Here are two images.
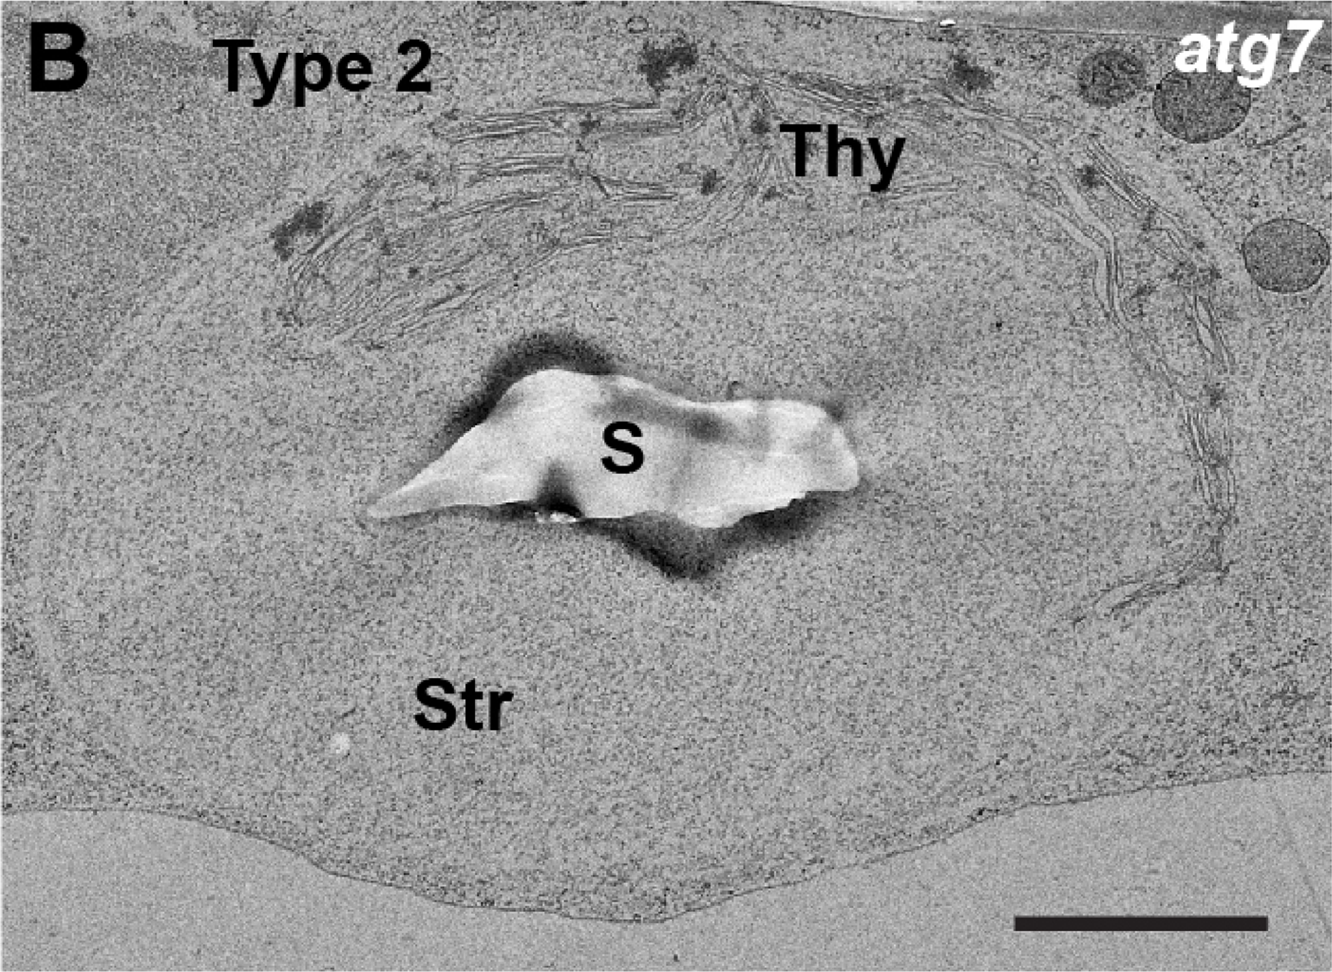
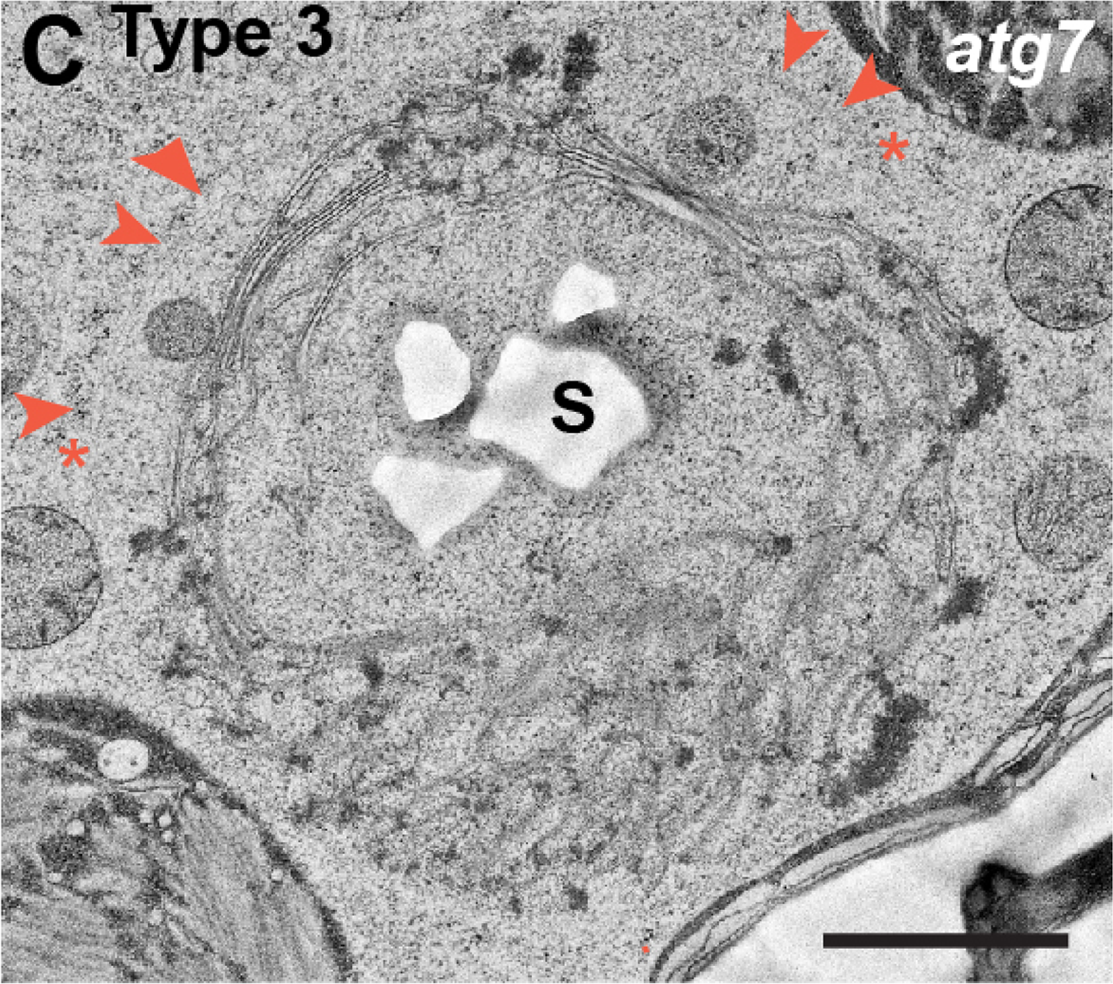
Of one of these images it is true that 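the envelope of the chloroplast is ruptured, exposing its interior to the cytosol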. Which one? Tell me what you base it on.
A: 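Second image: the bounding membrane is broken in places and the interior merges with the surrounding cytoplasm.
Conclusion: the second image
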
